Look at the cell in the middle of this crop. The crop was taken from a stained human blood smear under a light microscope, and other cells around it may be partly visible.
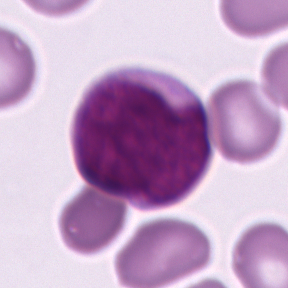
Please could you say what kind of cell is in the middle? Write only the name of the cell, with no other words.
myeloblast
